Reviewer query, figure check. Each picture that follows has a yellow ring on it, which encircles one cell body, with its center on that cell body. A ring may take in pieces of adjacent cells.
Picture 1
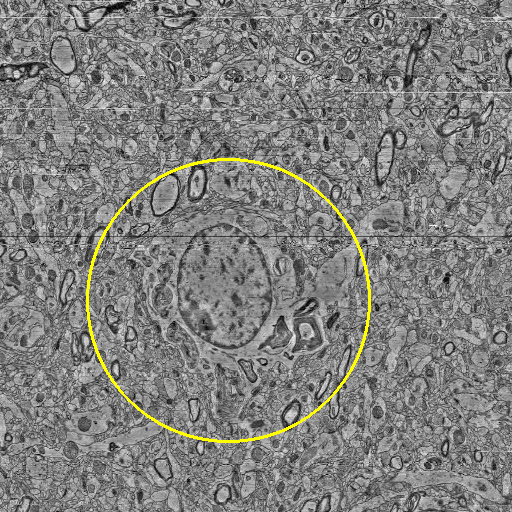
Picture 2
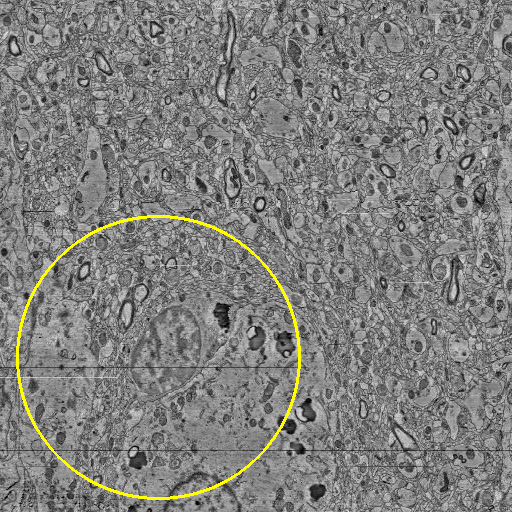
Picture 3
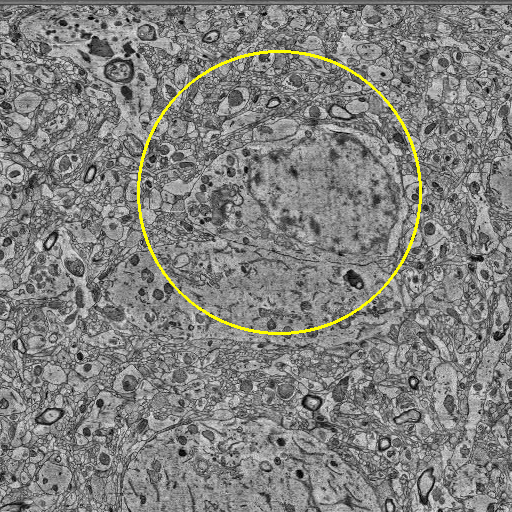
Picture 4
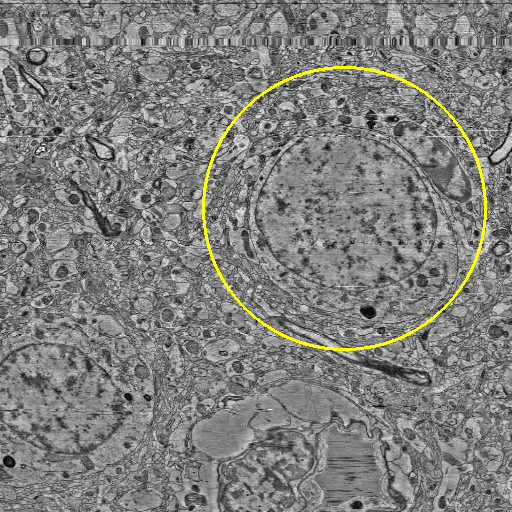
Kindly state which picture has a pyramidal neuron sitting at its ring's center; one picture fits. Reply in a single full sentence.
In picture 4, the cell at the center of the ring is the requested one.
